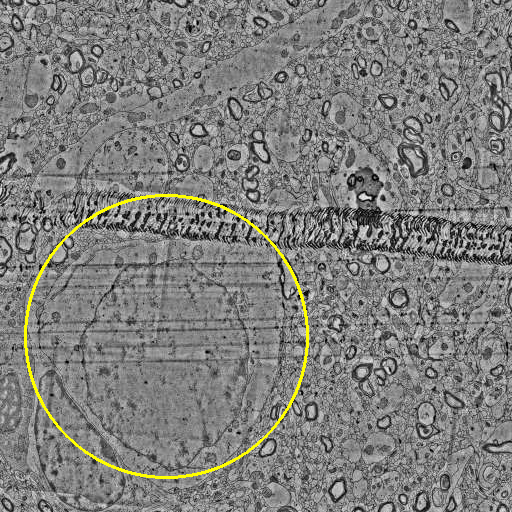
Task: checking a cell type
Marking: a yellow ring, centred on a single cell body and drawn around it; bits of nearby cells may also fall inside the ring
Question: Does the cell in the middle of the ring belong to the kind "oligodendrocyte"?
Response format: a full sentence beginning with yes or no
No, the cell marked at the ring's centre in the picture is of a different kind.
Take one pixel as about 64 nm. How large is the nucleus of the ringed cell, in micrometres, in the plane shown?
The nucleus of the ringed cell is approximately 14 by 11 micrometres in this plane.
